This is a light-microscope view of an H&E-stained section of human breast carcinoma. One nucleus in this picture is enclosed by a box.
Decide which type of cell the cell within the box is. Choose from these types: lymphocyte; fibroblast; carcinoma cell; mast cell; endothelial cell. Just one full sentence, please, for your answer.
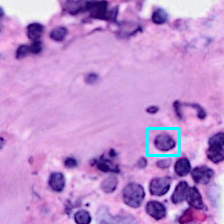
On this particular slide, the cell within the box is a lymphocyte.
